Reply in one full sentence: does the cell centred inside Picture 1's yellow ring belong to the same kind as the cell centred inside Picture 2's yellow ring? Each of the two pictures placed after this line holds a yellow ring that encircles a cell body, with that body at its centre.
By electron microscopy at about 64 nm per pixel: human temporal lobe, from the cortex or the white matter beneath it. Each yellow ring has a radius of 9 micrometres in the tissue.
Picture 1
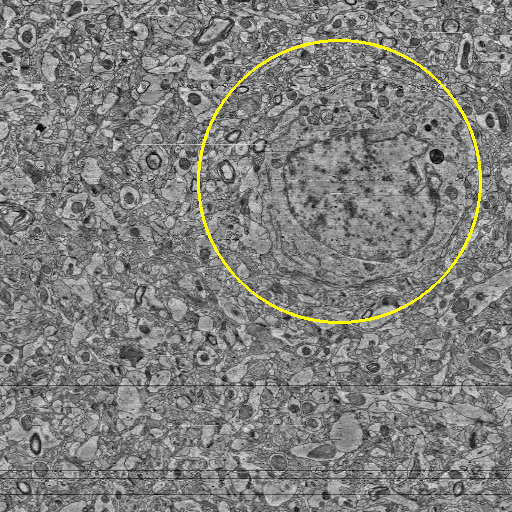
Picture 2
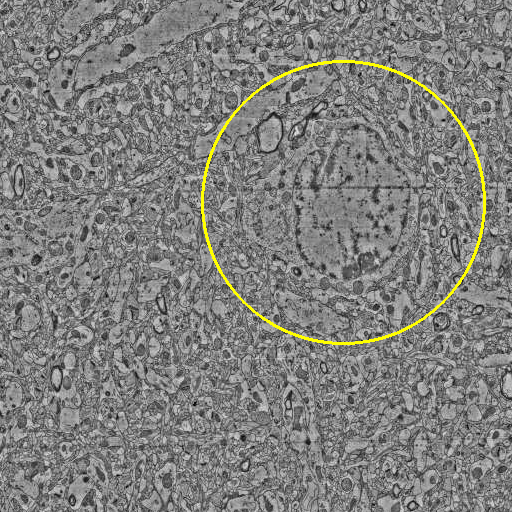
Yes, the ring-centred cells in Picture 1 and Picture 2 are of one and the same kind.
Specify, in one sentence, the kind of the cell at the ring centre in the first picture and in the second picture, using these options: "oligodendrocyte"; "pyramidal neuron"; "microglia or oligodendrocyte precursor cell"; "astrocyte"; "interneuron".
The second cell is an interneuron, just as the first is.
